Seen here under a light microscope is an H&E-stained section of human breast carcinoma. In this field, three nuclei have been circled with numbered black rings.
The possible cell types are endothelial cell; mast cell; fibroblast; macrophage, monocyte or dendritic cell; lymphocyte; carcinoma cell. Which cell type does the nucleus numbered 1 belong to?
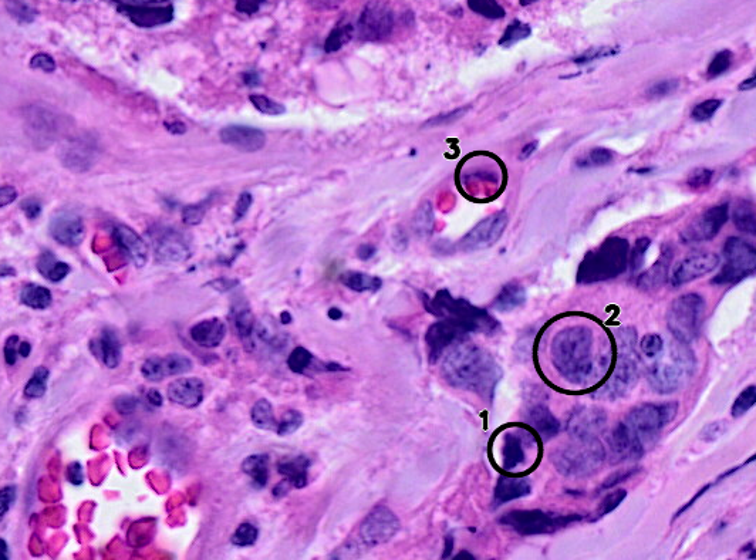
carcinoma cell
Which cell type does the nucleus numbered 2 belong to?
carcinoma cell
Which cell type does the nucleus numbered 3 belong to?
endothelial cell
